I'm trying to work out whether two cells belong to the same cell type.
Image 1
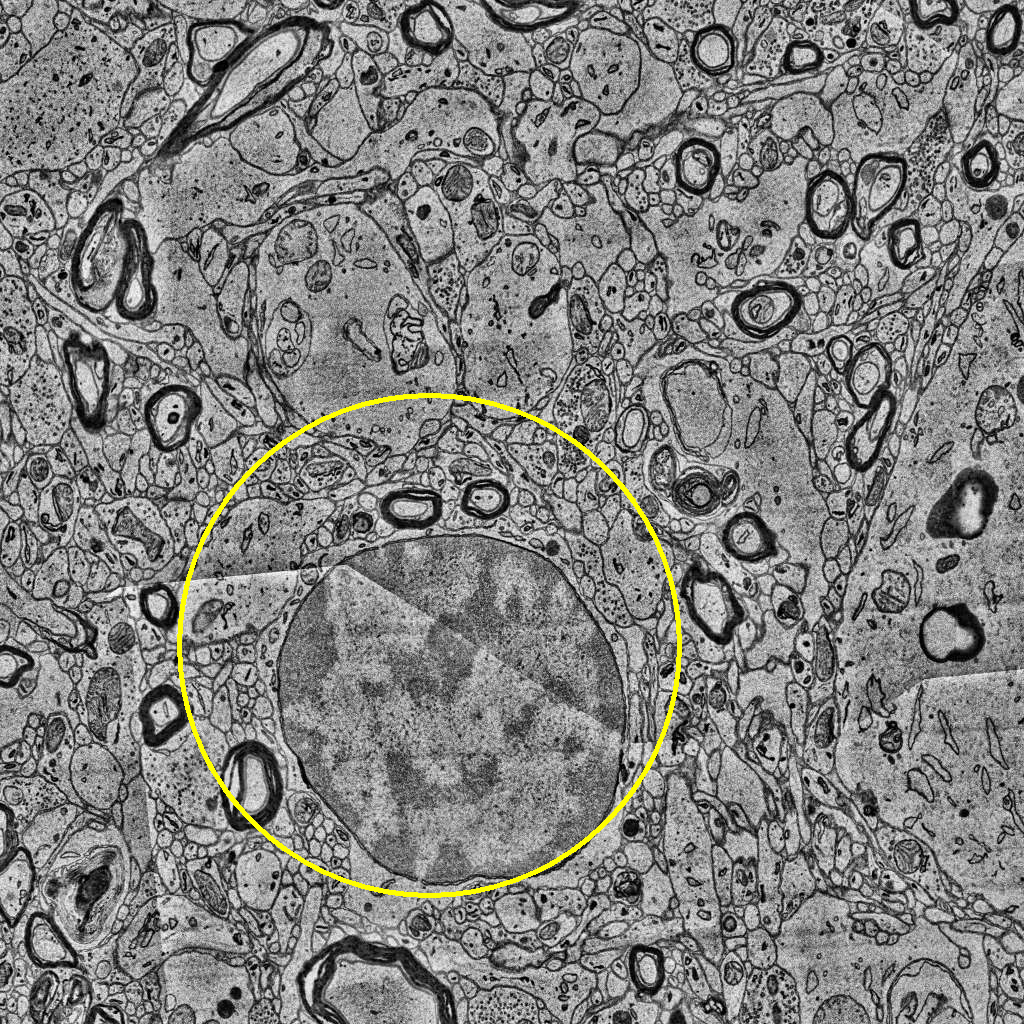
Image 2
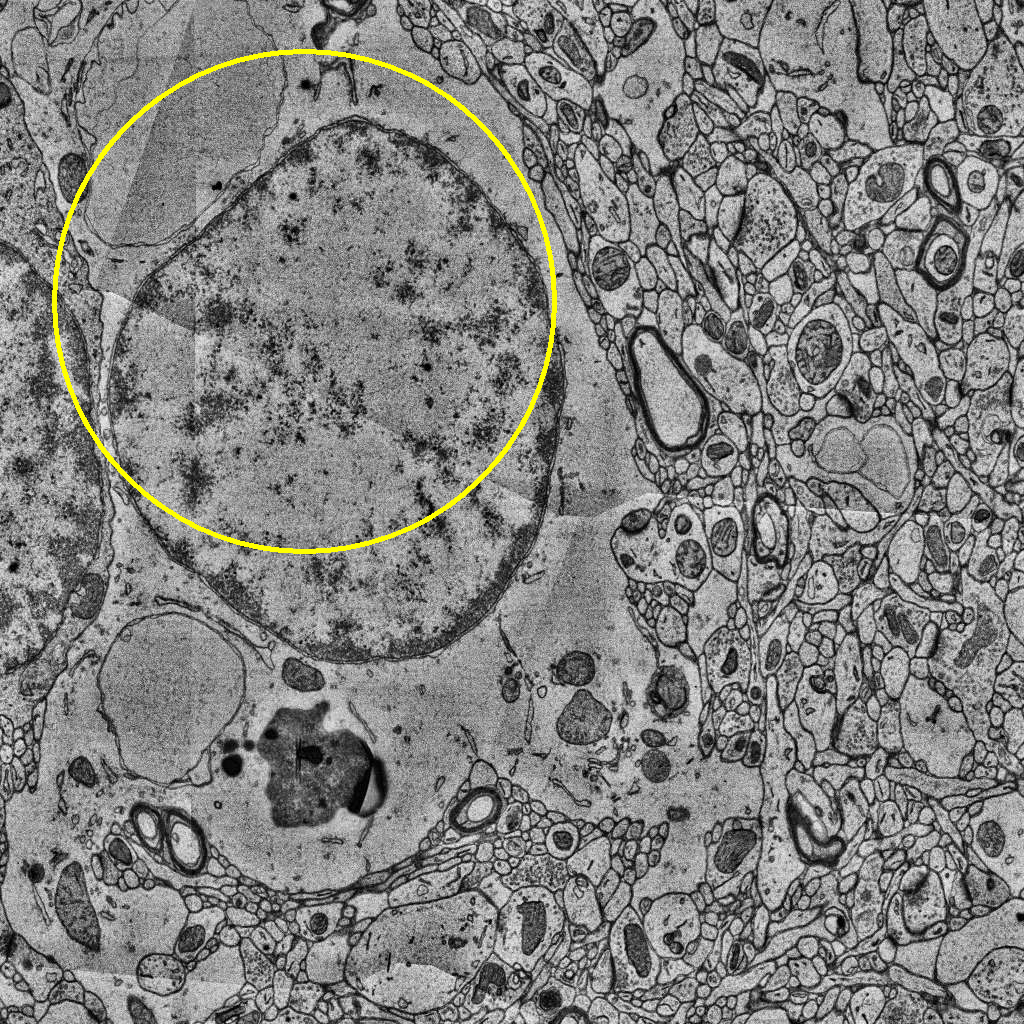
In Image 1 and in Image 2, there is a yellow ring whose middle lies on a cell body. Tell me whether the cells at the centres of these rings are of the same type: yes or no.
no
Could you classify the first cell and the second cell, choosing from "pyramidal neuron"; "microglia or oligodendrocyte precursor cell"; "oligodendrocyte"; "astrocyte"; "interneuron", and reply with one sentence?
The second cell is an astrocyte, and the first cell is a microglial cell or oligodendrocyte precursor cell.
